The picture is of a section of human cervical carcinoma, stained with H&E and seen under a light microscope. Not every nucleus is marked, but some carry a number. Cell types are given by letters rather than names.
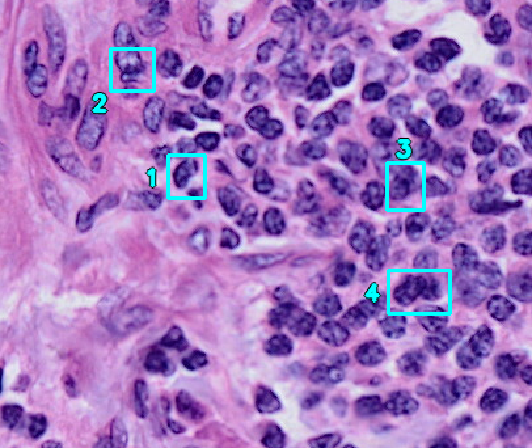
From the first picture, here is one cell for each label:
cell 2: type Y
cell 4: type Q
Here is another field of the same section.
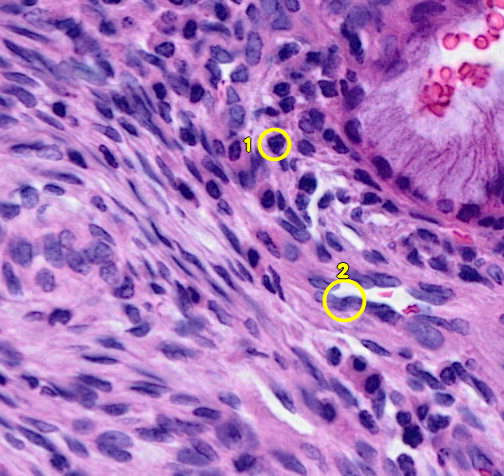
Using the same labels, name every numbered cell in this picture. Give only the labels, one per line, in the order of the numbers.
type Q
type Y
